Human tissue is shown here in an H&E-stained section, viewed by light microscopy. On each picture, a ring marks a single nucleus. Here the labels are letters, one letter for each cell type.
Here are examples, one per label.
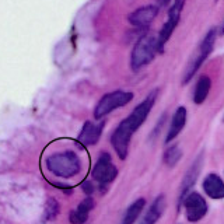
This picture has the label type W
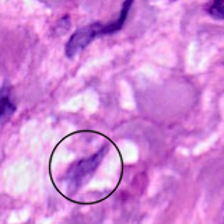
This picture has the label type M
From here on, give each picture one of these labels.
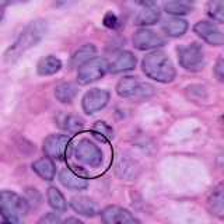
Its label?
type W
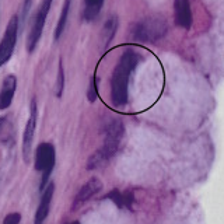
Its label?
type W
